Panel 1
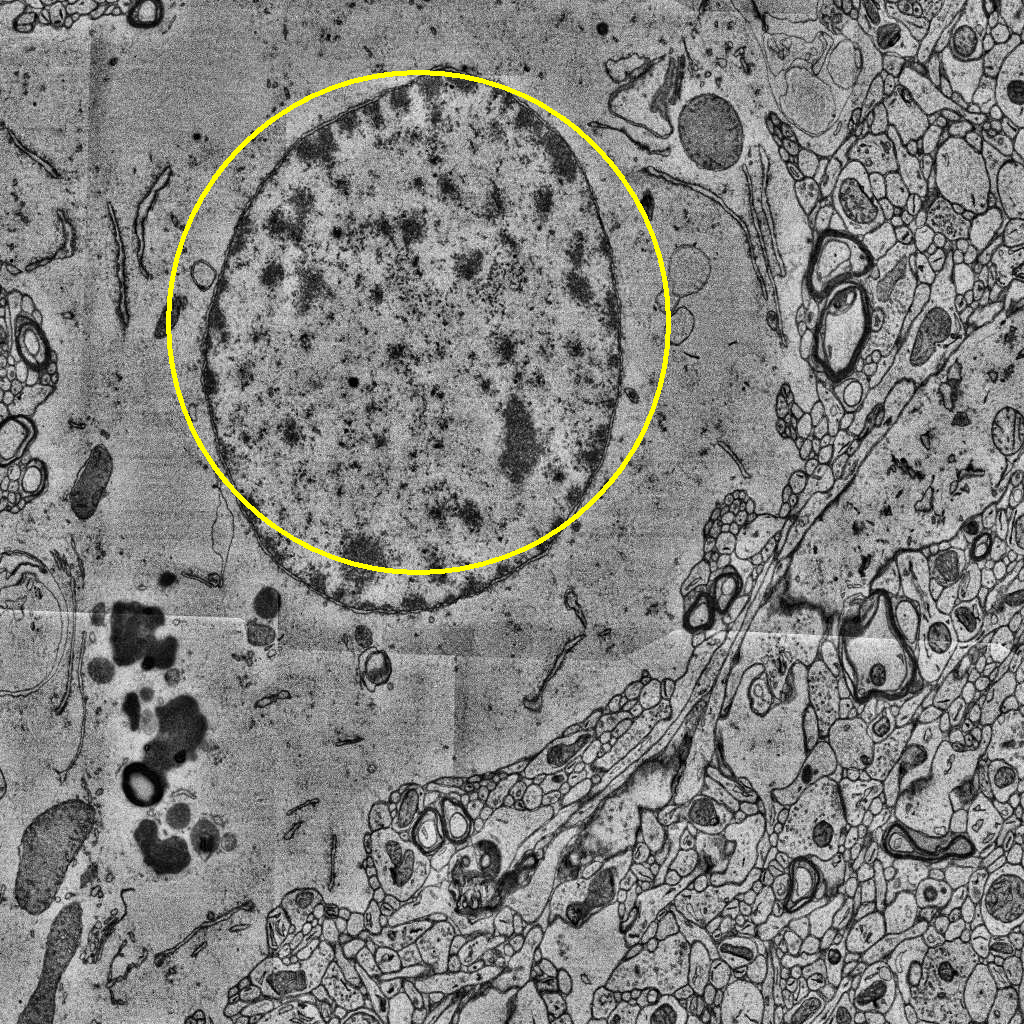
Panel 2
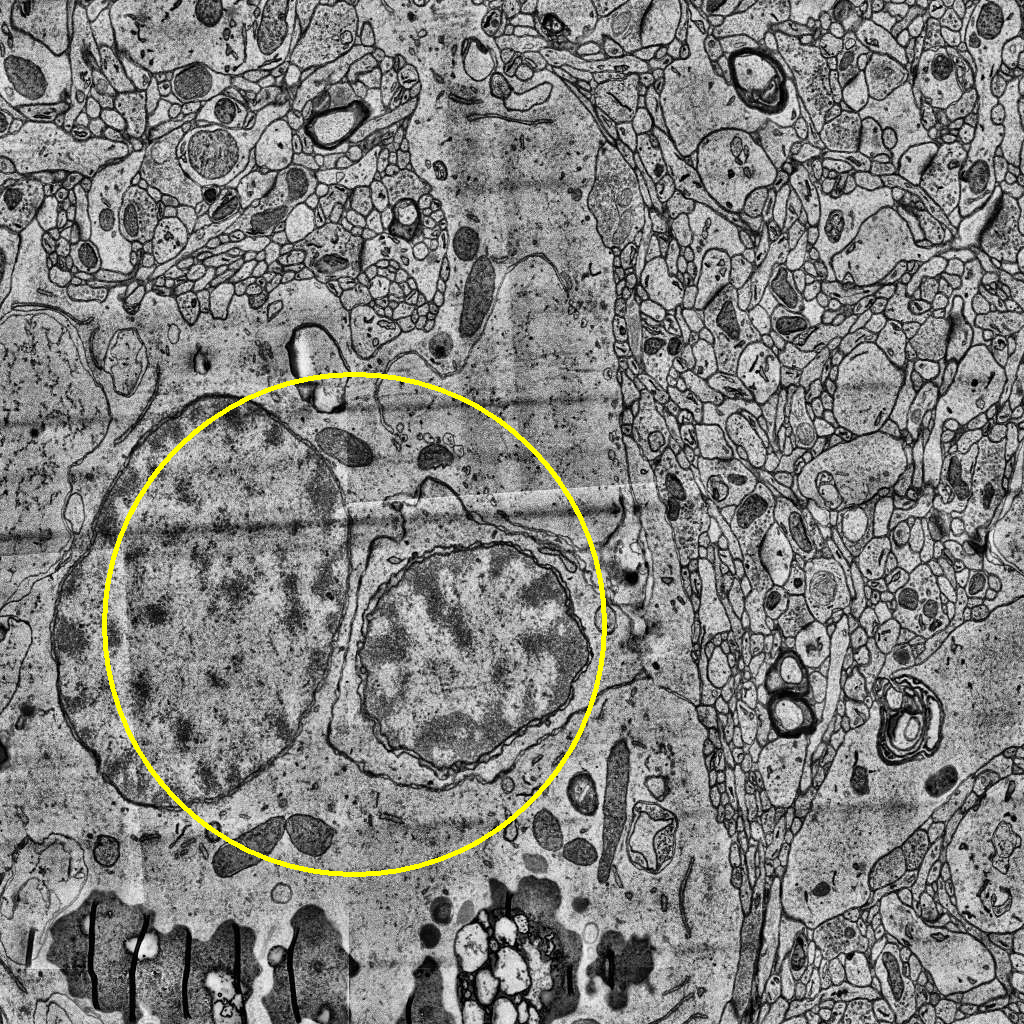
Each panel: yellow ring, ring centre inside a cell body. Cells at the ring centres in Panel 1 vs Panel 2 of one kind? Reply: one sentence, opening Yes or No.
No, Panel 1 and Panel 2 have cells of two kinds at the ring centres.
